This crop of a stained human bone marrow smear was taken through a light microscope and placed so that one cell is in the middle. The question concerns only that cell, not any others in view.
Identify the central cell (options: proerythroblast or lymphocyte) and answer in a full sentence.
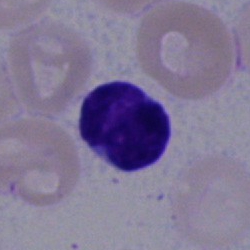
At the crop's centre, the cell is a lymphocyte.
